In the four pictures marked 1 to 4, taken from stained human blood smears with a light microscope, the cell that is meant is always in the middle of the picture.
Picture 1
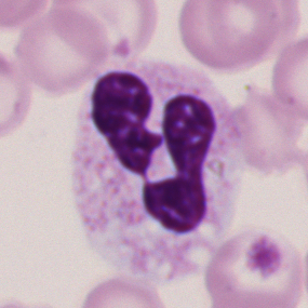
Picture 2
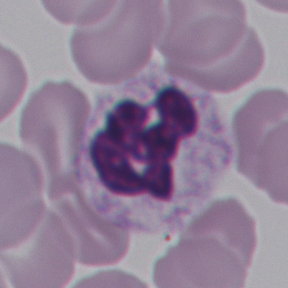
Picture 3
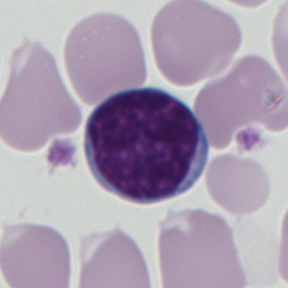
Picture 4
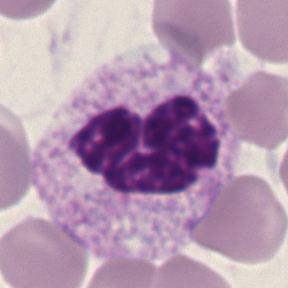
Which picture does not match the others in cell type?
3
